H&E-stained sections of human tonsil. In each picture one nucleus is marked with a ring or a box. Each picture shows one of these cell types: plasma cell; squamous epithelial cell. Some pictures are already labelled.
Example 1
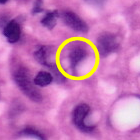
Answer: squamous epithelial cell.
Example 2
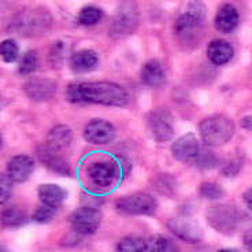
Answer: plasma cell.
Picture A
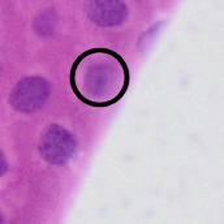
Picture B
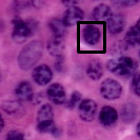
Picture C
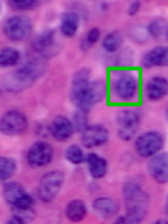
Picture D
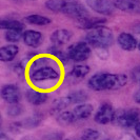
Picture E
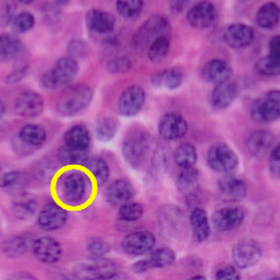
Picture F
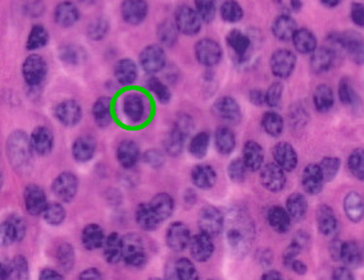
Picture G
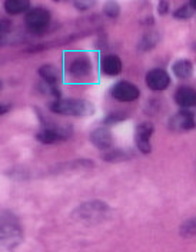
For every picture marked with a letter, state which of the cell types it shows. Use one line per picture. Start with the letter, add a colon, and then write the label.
A: squamous epithelial cell.
B: plasma cell.
C: plasma cell.
D: plasma cell.
E: plasma cell.
F: plasma cell.
G: plasma cell.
